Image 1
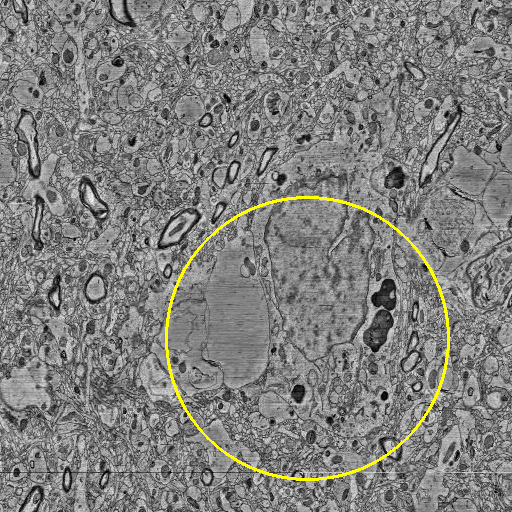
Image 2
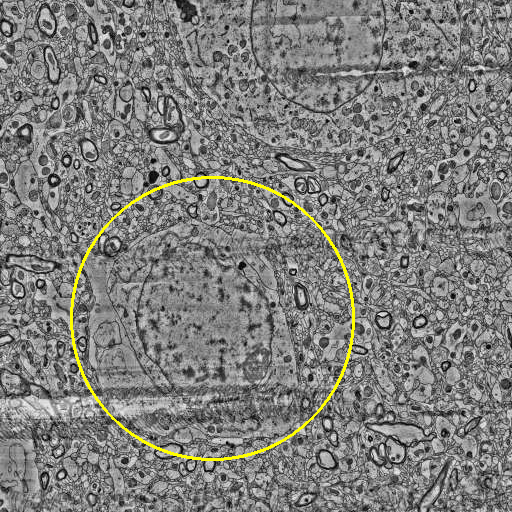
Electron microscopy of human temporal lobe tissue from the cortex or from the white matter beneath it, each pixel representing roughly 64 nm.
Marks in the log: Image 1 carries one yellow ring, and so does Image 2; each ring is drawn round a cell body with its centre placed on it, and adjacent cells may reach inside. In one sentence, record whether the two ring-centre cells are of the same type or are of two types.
The two cells at the ring centres, one in each image, are of the same type.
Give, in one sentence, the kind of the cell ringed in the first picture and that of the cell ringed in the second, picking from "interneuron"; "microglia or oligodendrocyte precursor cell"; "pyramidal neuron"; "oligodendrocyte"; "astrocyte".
Both rings mark an interneuron, one in each picture.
